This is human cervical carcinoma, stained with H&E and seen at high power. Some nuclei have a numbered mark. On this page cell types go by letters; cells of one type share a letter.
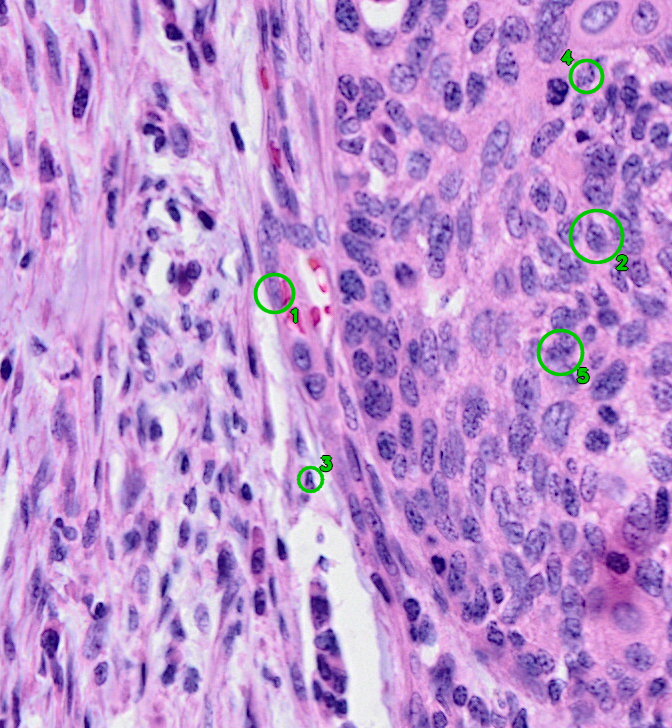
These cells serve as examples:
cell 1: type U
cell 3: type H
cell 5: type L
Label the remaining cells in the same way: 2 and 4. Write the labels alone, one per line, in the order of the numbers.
type L
type L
